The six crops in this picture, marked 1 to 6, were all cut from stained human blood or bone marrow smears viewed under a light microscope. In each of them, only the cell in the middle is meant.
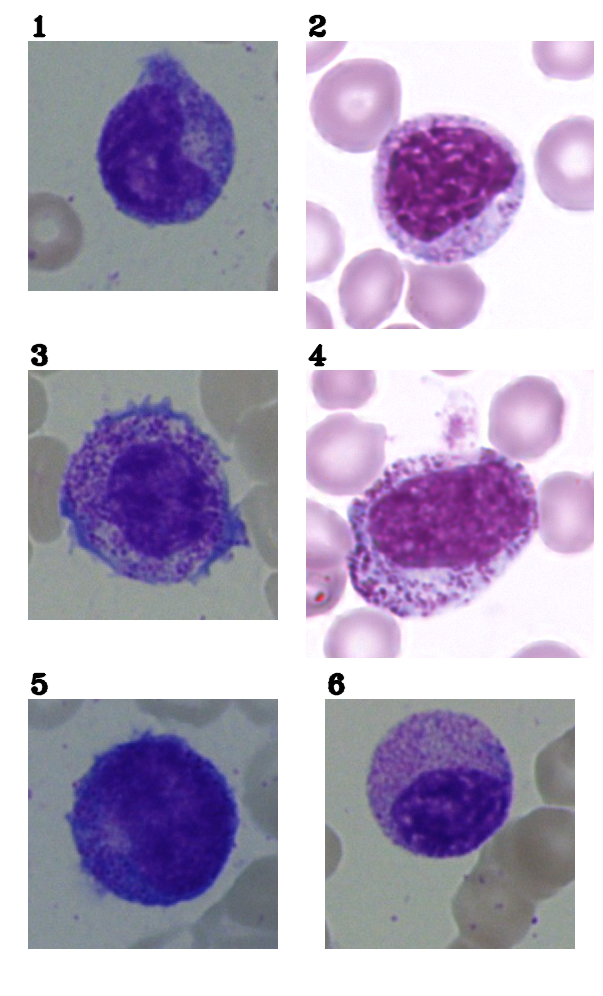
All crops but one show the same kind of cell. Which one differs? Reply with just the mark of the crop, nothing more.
5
